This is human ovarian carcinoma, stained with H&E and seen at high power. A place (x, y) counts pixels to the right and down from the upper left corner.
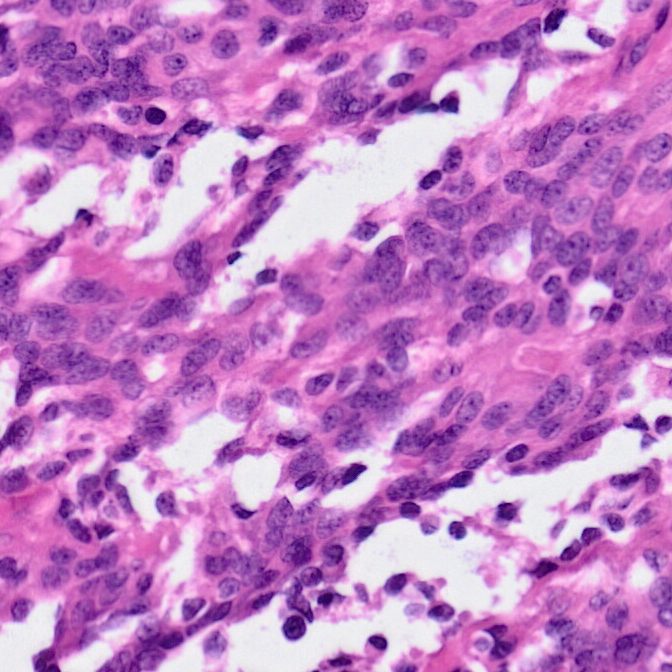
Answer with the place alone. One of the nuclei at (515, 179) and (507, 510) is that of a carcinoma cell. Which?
(507, 510)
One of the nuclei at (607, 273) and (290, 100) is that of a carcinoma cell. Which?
(607, 273)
